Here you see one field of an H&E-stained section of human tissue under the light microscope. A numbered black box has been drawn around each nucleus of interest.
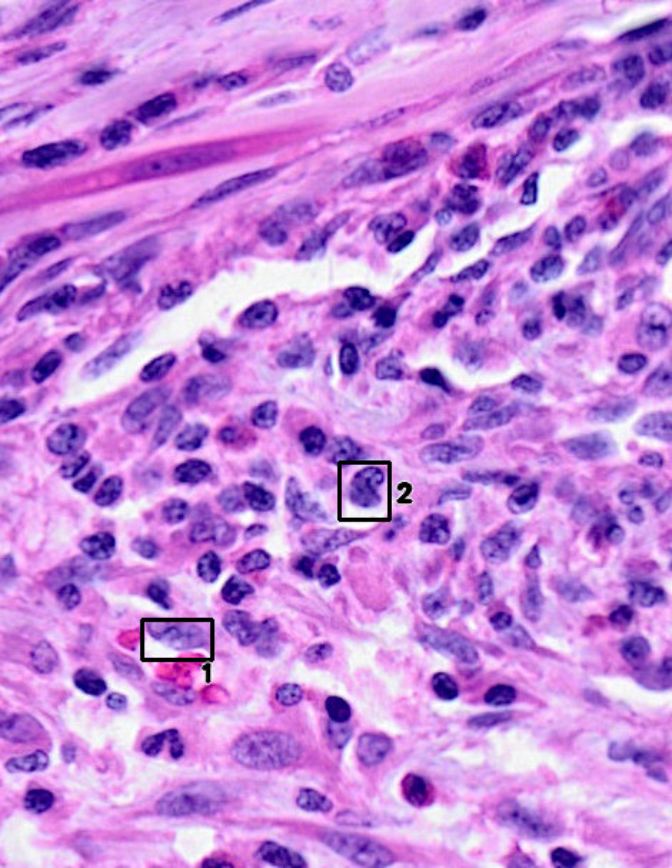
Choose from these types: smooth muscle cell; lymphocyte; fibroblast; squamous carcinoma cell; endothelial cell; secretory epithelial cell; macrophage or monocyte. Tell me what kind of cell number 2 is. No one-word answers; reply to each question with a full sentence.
In this section, the cell numbered 2 is a lymphocyte.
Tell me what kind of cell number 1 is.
As for number 1, that cell is an endothelial cell.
